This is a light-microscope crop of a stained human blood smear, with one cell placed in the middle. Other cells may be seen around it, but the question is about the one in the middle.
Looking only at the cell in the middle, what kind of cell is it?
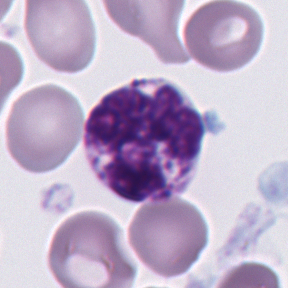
basophil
